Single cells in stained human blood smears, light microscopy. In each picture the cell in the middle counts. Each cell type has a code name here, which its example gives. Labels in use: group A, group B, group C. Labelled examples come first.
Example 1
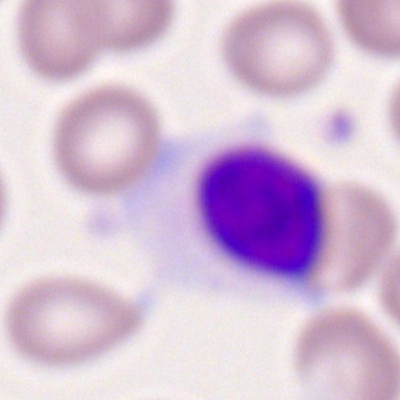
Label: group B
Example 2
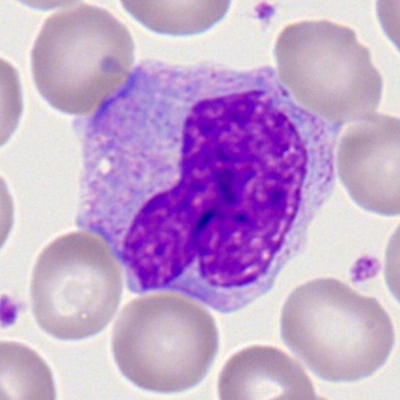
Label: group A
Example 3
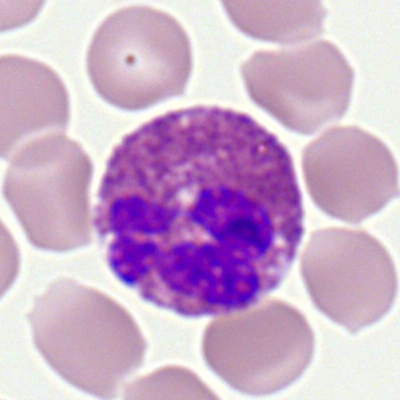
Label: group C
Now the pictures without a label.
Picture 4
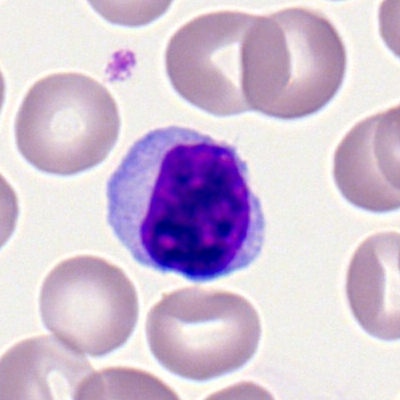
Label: group B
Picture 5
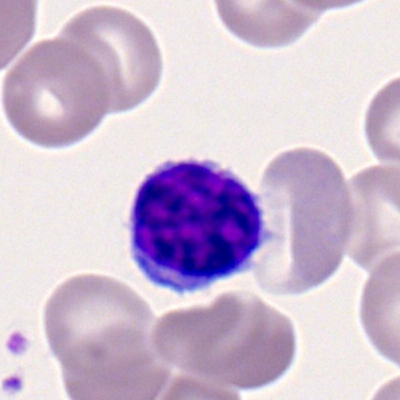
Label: group B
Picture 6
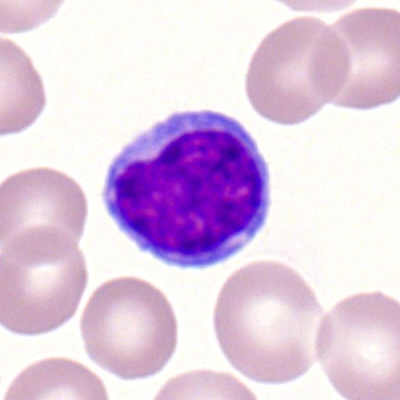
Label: group B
